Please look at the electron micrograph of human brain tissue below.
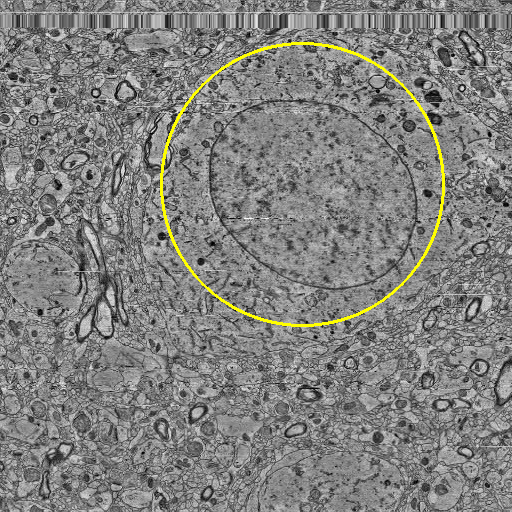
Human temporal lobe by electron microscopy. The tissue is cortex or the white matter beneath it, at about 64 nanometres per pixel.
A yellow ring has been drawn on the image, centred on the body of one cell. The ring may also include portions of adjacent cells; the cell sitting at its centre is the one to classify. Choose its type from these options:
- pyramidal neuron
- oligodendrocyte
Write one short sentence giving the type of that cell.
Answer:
The cell in the middle of the ring is a pyramidal neuron.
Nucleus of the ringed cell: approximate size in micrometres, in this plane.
The ringed cell's nucleus measures approximately 14 by 11 micrometres in this plane.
